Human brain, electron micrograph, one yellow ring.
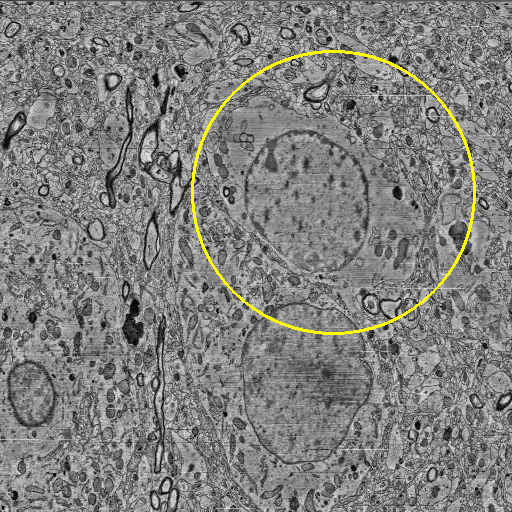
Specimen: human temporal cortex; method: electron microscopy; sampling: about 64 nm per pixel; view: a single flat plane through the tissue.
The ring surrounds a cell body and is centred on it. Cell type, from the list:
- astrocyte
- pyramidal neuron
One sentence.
The yellow ring circles an astrocyte.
